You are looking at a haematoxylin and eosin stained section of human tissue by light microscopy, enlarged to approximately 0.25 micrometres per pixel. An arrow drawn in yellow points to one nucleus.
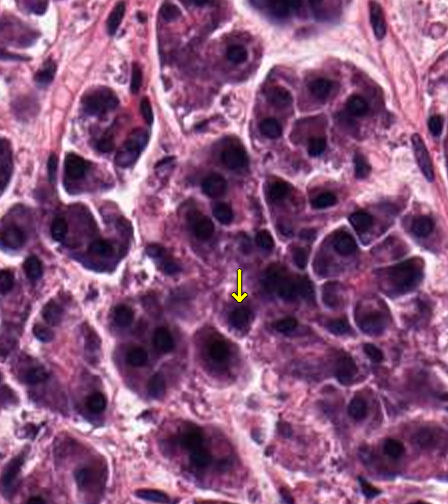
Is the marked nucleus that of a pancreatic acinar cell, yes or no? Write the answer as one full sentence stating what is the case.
Yes, the marked nucleus sits in a pancreatic acinar cell.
